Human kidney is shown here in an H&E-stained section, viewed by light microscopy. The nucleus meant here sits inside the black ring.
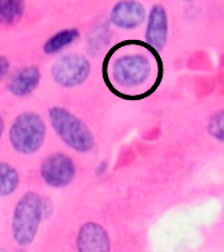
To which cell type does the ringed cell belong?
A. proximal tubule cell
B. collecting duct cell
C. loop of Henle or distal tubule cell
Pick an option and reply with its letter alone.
B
